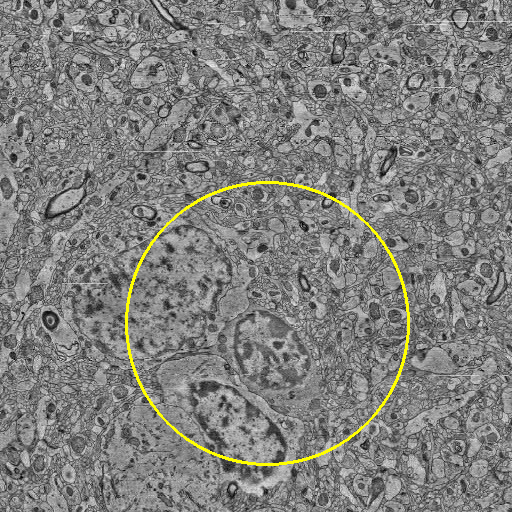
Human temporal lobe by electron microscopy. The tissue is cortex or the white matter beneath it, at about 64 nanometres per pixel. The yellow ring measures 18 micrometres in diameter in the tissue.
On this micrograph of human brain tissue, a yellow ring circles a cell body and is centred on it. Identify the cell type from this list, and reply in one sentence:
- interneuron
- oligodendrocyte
The cell at the centre is an oligodendrocyte.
